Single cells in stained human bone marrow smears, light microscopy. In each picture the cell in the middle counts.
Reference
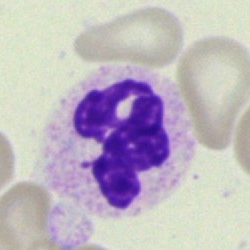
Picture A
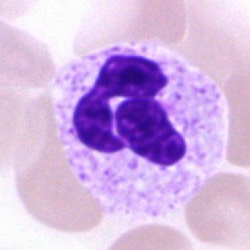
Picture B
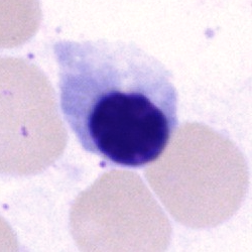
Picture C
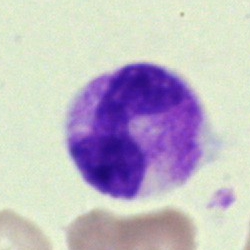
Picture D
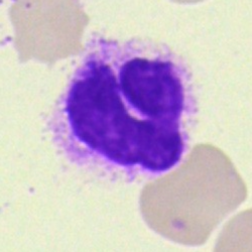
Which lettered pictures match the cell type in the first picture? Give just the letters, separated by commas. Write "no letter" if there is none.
A, C, D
